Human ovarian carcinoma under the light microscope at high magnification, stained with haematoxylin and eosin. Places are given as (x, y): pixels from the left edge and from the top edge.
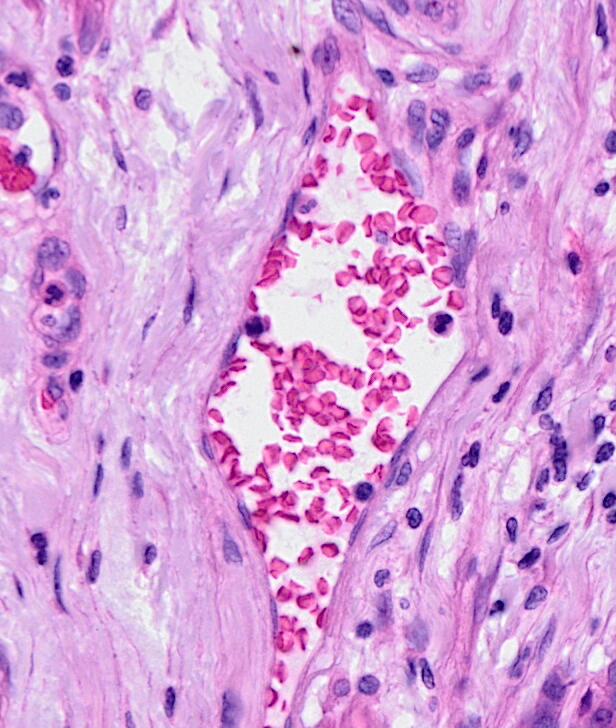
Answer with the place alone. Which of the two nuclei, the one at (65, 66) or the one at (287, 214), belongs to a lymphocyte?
(65, 66)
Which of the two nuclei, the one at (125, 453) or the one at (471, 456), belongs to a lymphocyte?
(471, 456)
